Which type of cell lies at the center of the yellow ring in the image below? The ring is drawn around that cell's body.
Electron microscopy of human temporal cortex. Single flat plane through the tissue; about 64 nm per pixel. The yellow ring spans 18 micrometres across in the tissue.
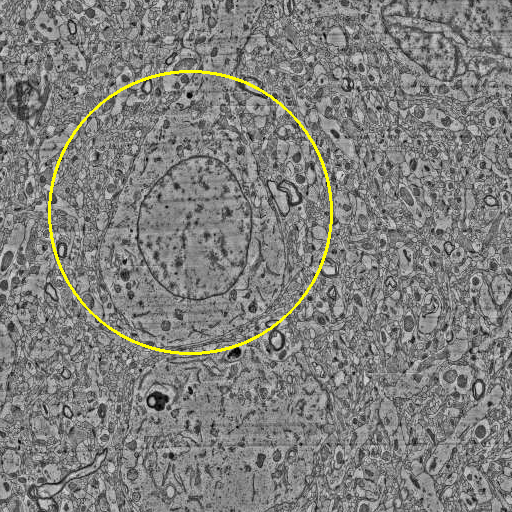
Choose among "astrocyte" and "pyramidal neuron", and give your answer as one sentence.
The cell body at the center belongs to a pyramidal neuron.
